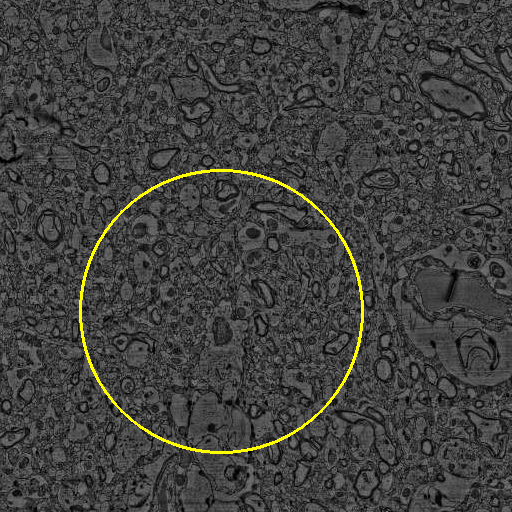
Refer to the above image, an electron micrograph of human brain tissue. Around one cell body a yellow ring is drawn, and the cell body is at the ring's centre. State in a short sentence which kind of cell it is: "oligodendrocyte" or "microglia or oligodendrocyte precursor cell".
The centre of the ring falls on a microglial cell or oligodendrocyte precursor cell.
